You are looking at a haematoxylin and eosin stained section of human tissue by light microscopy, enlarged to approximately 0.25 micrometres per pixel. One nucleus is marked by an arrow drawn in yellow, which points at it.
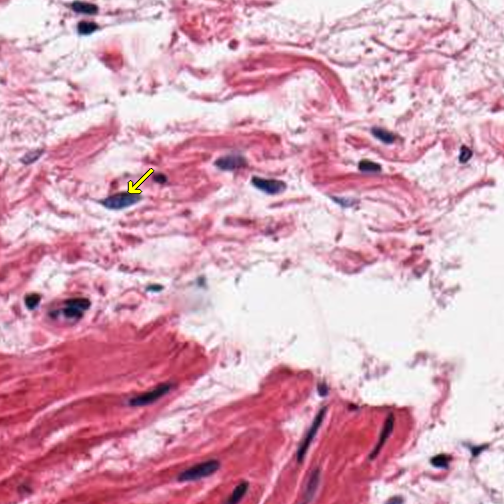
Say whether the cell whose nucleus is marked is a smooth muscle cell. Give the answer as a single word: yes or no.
no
